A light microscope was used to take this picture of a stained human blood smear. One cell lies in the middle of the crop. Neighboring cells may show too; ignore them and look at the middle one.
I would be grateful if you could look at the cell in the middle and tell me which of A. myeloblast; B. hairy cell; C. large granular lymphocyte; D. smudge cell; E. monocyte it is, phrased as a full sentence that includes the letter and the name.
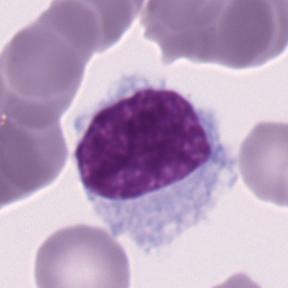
The correct identification, given in option B, is that the central cell is a hairy cell.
